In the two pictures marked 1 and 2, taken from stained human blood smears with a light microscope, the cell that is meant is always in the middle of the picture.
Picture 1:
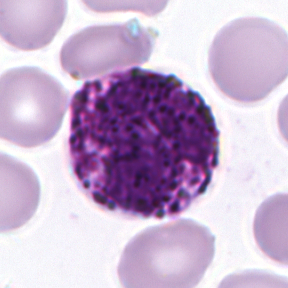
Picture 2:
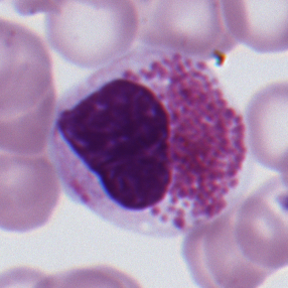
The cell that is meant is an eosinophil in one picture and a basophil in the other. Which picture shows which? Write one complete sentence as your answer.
Picture 1 is of a basophil, and picture 2 is of an eosinophil.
